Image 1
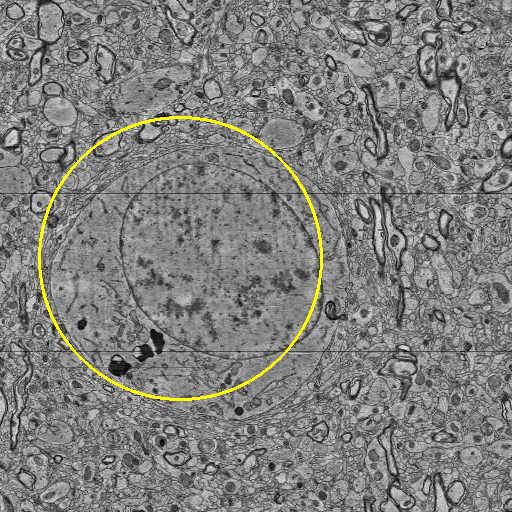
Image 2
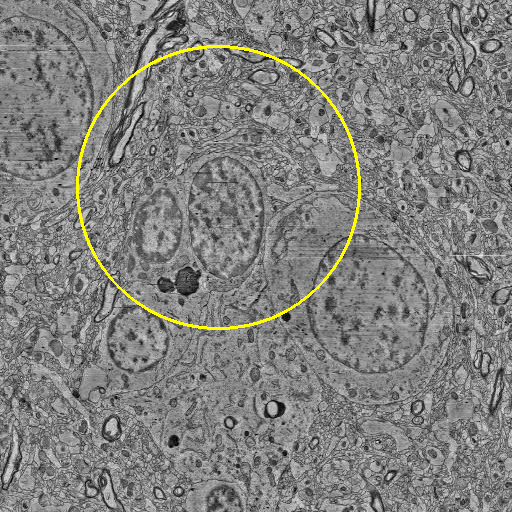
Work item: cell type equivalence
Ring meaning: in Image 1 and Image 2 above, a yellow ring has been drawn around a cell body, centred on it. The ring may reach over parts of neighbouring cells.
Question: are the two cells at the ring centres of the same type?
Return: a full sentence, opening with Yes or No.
No, the two centred cells are of two types.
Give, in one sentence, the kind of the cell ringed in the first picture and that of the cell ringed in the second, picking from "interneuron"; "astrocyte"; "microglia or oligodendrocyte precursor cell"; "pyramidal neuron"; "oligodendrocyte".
For the first picture it is a pyramidal neuron; for the second, an oligodendrocyte.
